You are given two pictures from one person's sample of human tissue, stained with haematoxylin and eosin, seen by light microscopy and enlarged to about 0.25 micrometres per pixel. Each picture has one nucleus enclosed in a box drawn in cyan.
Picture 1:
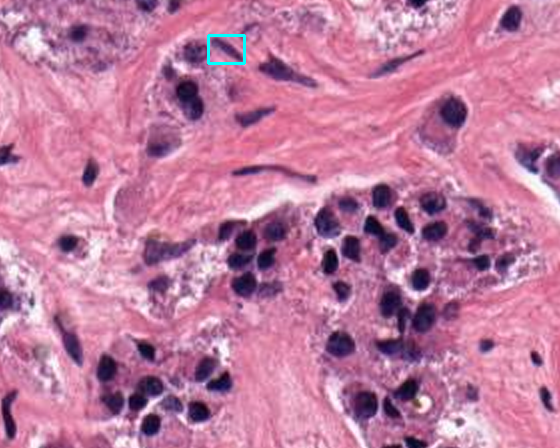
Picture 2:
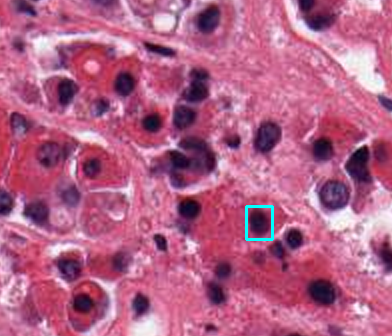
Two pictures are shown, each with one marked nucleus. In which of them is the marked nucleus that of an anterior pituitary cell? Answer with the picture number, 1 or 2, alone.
2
